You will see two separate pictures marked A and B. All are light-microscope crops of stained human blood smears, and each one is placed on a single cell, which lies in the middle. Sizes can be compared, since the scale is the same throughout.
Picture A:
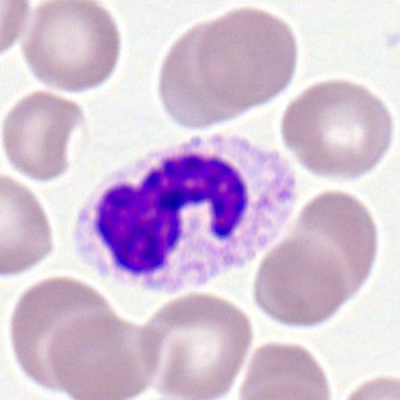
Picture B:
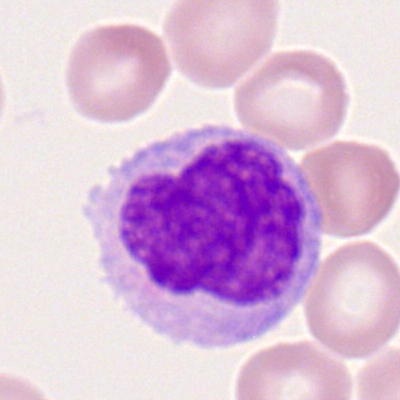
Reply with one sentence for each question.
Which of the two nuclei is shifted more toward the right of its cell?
Seen within its cell, the nucleus in picture B lies further toward the right.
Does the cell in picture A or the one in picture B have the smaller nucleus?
The nucleus in picture A is smaller; the one in picture B has about 2 times its area.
